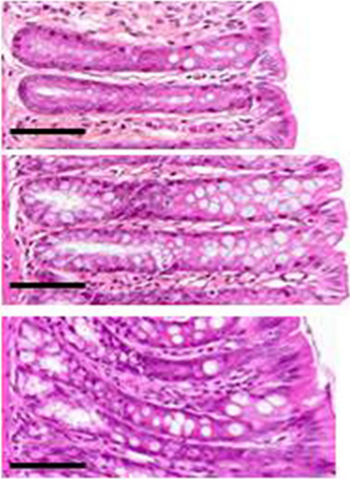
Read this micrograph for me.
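Three stacked views of colonic mucosa with crypts cut along their length, stained pink and purple. Many goblet cells with pale, clear, rounded mucus vacuoles fill the crypt walls. Narrow bands of lamina propria with scattered small nuclei lie between neighbouring crypts. The crypt openings face a flat surface epithelium at the right edge of each image.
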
